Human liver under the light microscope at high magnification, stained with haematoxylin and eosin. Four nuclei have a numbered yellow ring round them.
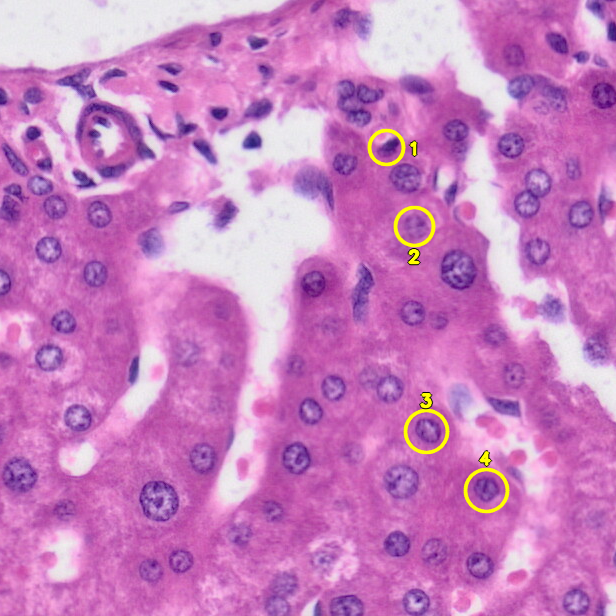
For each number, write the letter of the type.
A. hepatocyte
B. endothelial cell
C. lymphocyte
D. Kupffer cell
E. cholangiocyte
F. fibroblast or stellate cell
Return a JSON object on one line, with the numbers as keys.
{"1": "F", "2": "A", "3": "A", "4": "A"}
